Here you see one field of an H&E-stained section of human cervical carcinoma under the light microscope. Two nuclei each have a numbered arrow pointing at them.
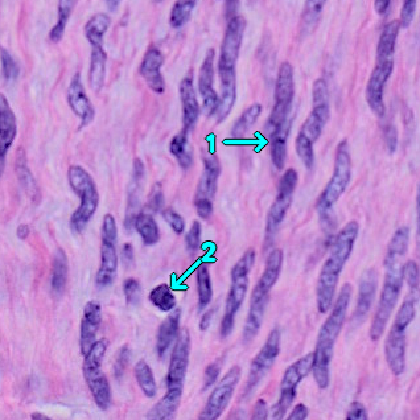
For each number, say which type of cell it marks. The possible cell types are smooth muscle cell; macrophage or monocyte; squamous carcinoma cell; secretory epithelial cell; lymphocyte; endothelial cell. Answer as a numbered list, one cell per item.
1. smooth muscle cell
2. lymphocyte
